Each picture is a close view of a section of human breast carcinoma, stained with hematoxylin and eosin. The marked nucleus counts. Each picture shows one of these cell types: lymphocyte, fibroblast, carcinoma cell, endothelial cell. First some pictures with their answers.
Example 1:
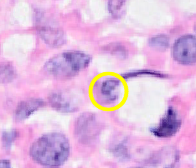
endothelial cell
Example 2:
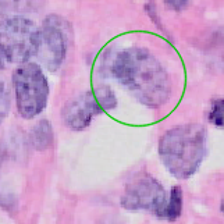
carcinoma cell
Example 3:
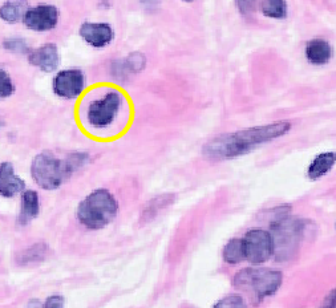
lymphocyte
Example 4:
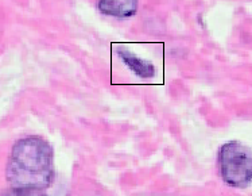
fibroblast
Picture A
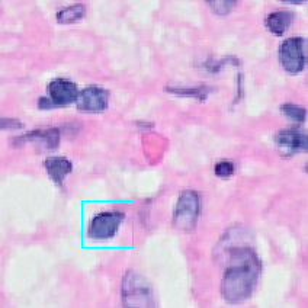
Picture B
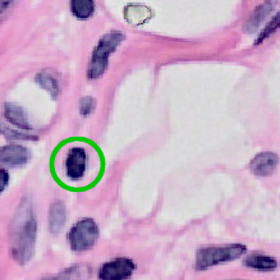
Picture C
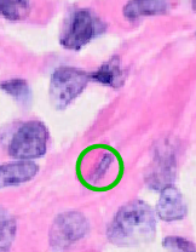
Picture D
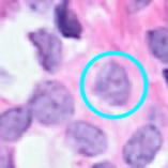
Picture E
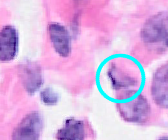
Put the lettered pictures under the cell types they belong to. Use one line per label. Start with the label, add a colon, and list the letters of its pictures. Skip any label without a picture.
lymphocyte: A, B
carcinoma cell: D, E
endothelial cell: C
